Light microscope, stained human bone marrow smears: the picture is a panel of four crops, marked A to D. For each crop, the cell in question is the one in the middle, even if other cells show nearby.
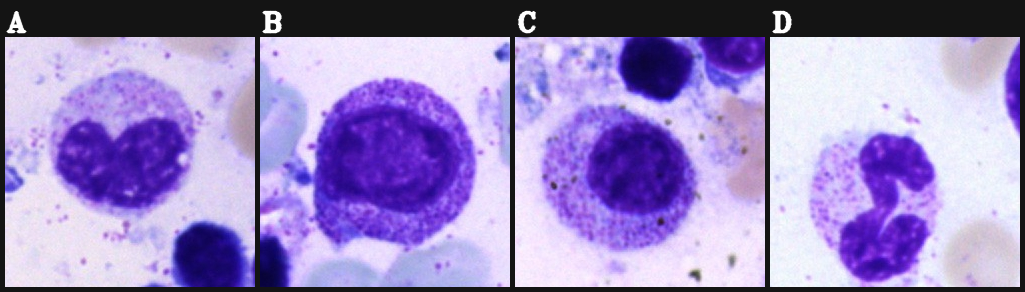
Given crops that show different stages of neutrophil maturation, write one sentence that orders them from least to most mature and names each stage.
Increasing in maturity, the crops run crop B (a promyelocyte), crop C (a myelocyte), crop A (a metamyelocyte) and crop D (a segmented neutrophil).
